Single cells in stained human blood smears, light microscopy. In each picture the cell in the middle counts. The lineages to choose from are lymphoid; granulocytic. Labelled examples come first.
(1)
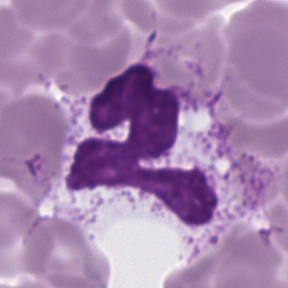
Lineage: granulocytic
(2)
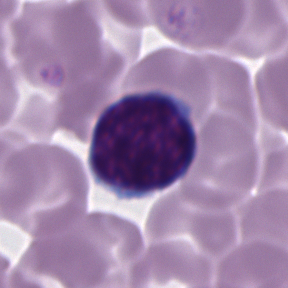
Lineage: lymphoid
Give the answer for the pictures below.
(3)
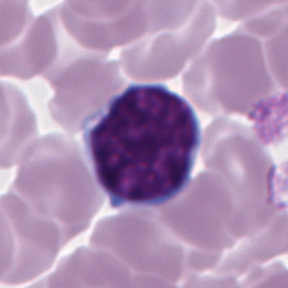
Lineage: lymphoid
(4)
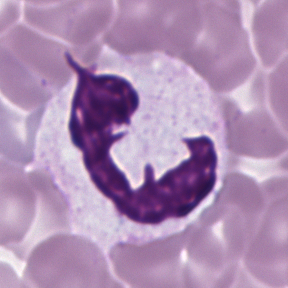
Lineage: granulocytic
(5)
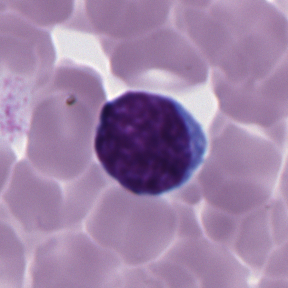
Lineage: lymphoid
